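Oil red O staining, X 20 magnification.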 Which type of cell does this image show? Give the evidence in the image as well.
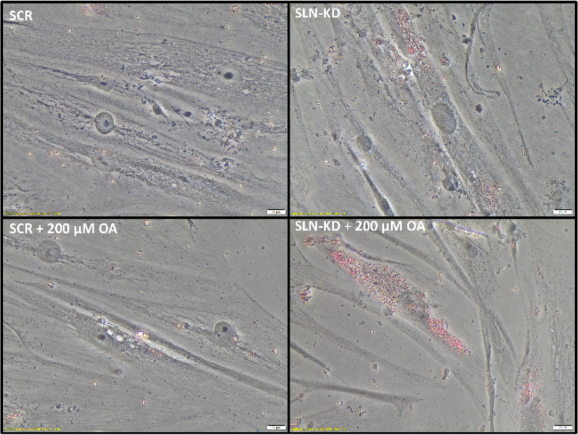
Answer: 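Long, slender, spindle-shaped cells run roughly parallel across the field. Oval nuclei lie within the elongated cell bodies.
Myotubes.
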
